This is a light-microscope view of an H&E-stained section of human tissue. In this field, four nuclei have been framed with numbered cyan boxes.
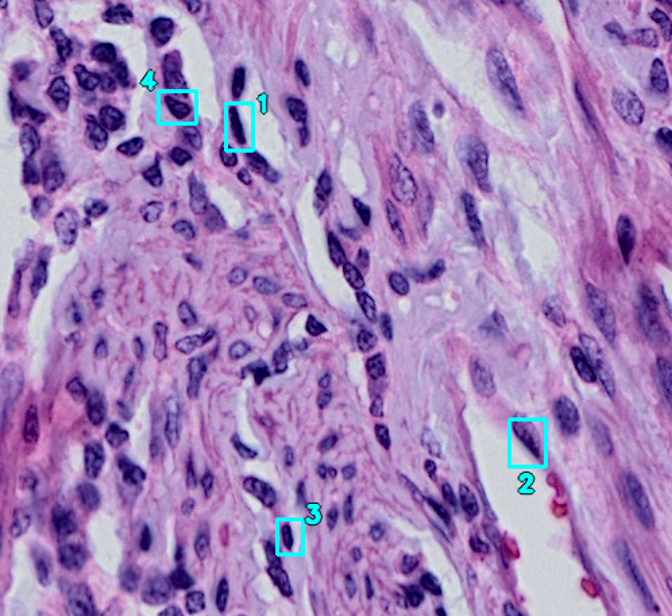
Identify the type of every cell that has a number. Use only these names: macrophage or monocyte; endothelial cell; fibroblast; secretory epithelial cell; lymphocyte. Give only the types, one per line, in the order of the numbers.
lymphocyte
endothelial cell
lymphocyte
lymphocyte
